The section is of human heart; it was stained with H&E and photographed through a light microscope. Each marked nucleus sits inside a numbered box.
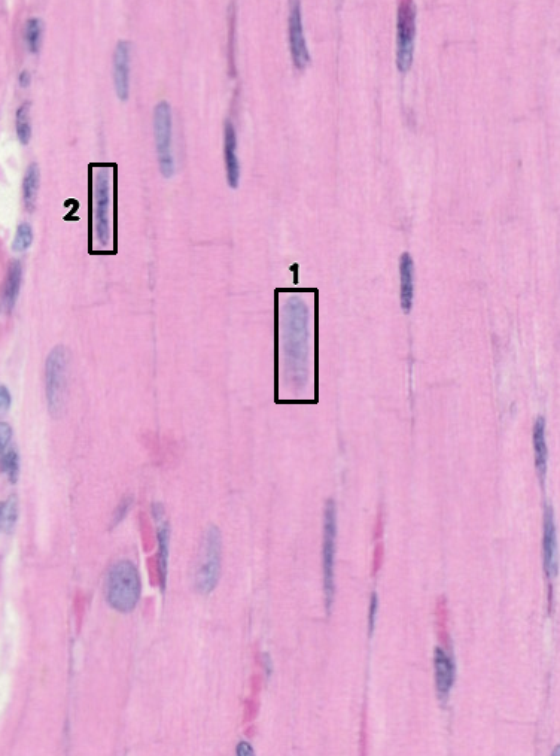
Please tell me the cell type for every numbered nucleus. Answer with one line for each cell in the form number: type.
1: cardiomyocyte
2: endothelial cell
